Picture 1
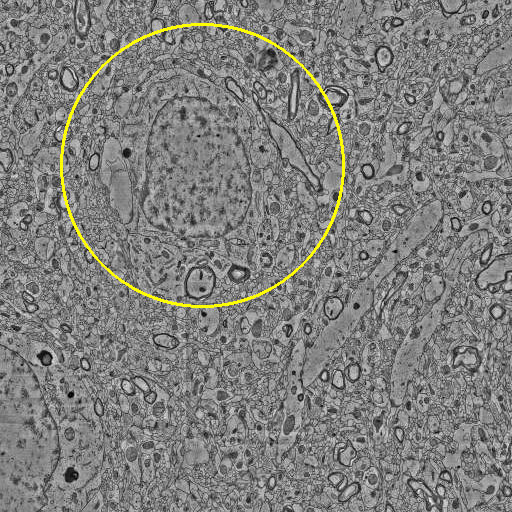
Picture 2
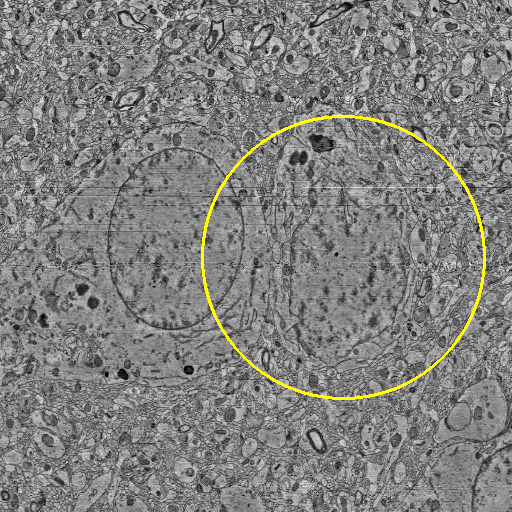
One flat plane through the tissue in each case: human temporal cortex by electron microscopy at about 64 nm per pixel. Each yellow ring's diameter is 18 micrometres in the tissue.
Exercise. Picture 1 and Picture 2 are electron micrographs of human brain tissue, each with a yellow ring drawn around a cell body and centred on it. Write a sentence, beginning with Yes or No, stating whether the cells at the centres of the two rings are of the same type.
Yes, the cells at the centres of both rings are of the same type.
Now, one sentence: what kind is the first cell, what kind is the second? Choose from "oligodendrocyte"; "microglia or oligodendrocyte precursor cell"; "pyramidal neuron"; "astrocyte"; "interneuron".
Each of the two cells is an interneuron.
